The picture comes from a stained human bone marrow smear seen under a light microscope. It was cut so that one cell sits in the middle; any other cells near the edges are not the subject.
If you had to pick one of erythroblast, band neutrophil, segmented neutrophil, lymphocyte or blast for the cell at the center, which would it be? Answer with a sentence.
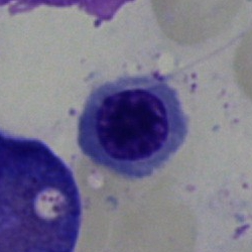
The centrally placed cell is classified as an erythroblast.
